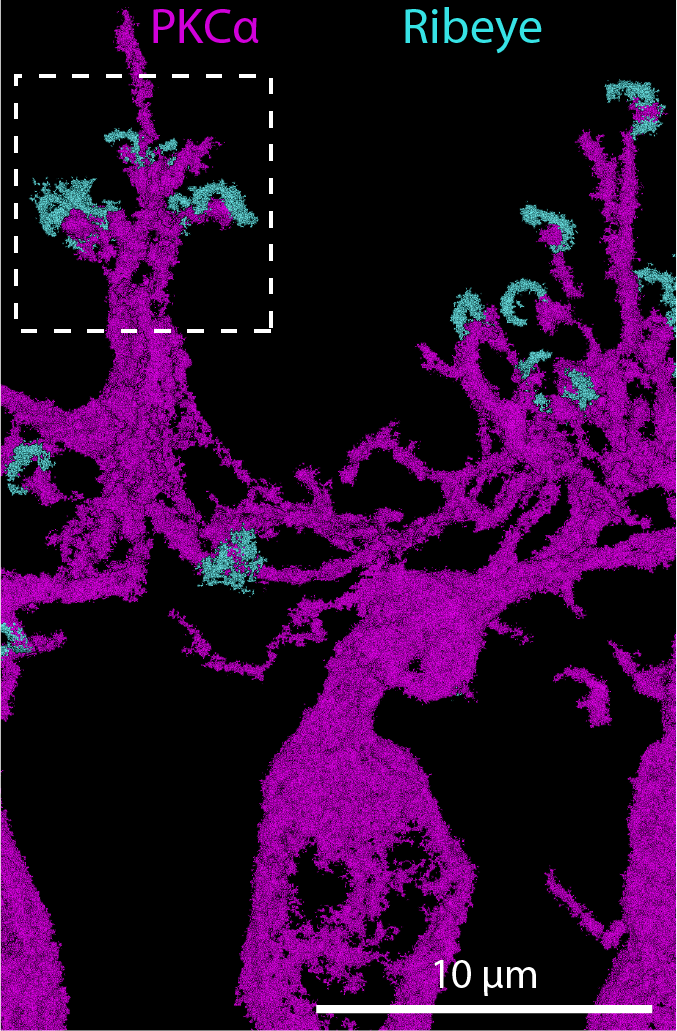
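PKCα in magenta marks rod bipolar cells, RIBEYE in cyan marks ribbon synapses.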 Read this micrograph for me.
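Magenta cell bodies lie at the bottom, each giving off a thick ascending process. The processes branch into fine dendrites that rise toward the top. Curved, crescent-shaped cyan structures sit at or around the tips of these dendrites.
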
